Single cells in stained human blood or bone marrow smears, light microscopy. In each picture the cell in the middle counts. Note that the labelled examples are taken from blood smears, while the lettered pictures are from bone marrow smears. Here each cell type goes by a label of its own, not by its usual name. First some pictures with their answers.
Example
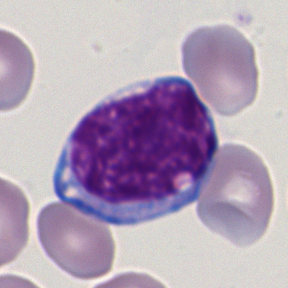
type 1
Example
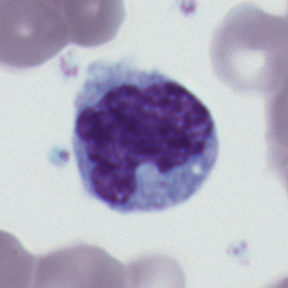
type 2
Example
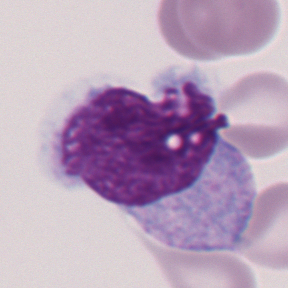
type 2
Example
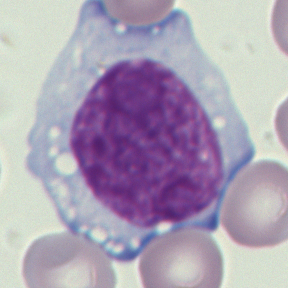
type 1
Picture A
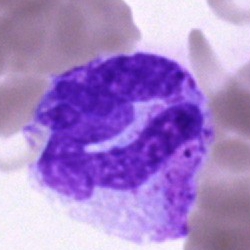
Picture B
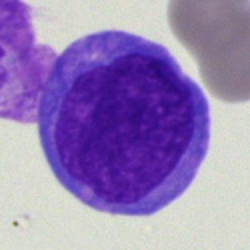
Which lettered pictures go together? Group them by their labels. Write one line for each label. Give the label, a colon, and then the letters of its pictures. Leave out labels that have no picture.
type 1: B
type 2: A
